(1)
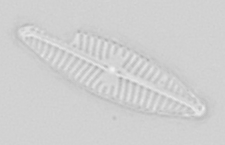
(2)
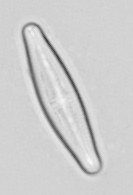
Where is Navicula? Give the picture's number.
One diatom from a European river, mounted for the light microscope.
1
